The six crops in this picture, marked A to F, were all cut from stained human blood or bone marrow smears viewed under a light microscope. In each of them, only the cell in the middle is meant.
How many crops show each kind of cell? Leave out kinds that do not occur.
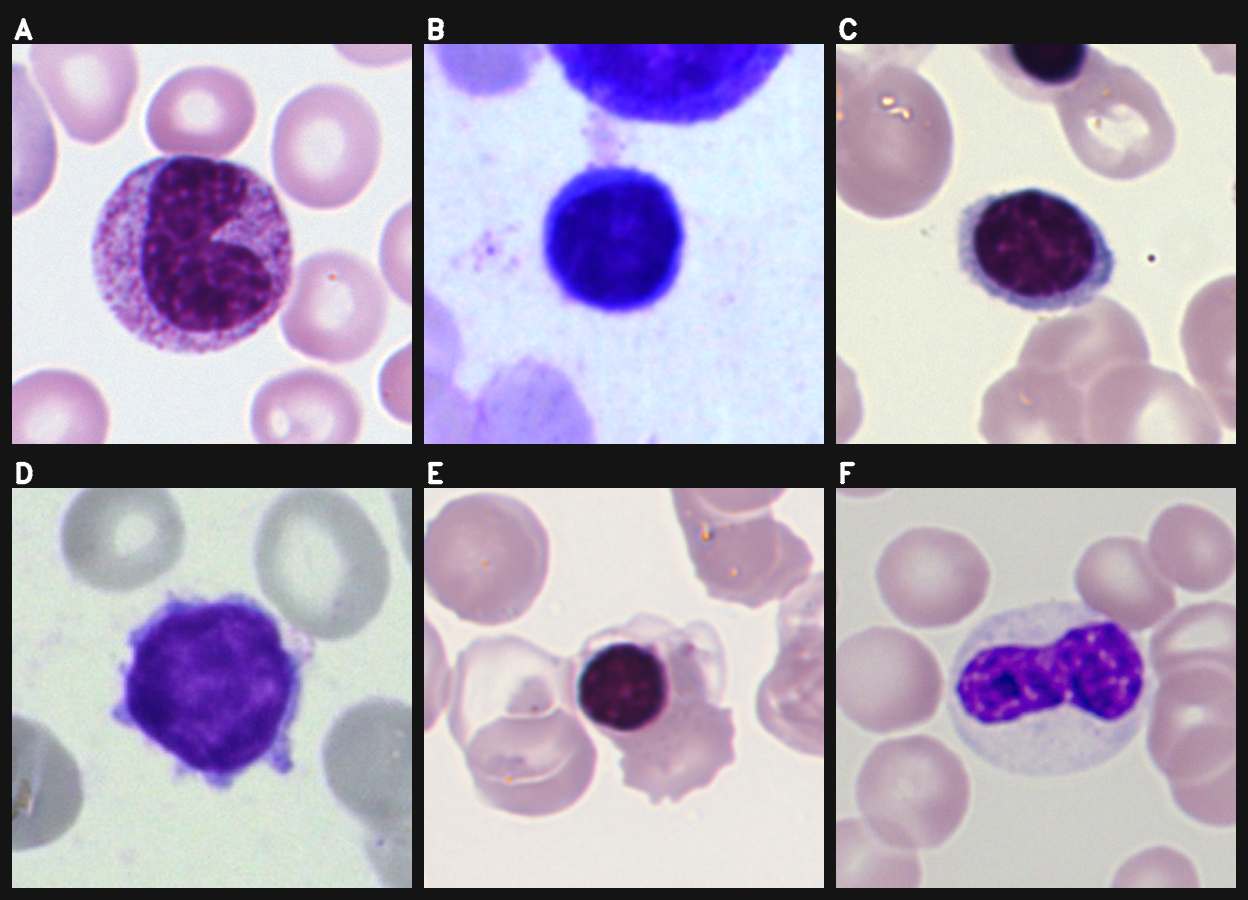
band neutrophil: 2
lymphocyte: 2
erythroblast: 2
